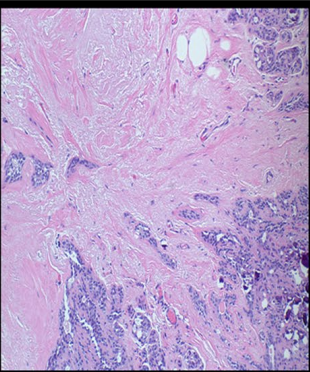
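This breast tissue shows a central area of pale pink, wavy, dense fibrous tissue with few nuclei, from which pink strands spread out in a star-like fashion. Small, angulated and compressed purple glands and cords are trapped within and at the edges of this fibrous tissue, and larger clusters of purple glandular epithelium lie at the lower right and upper right. A few round clear spaces sit at the upper right. This is the dense fibroelastotic nidus of a radial scar, with radiating fibrous bands and entrapped surrounding glandular proliferations.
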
